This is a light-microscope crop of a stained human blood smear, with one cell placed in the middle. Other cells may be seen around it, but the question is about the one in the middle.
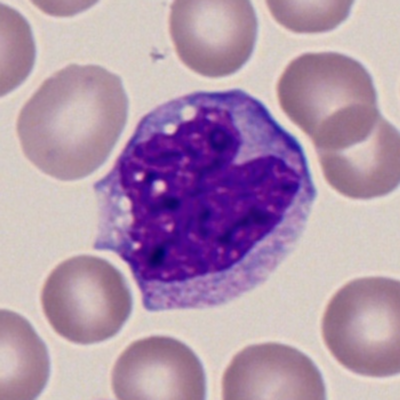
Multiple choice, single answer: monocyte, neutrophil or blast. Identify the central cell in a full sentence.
The cell that lies at the centre of the crop is a monocyte.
